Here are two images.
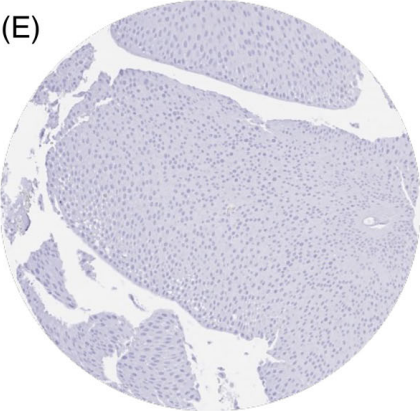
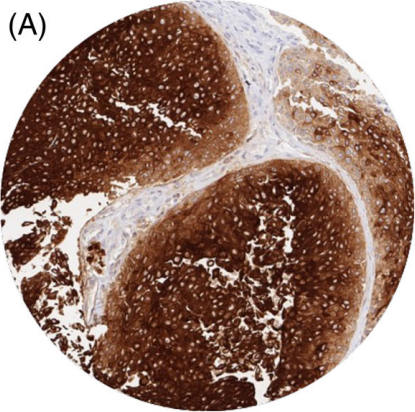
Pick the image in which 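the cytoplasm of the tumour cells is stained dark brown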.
The second image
